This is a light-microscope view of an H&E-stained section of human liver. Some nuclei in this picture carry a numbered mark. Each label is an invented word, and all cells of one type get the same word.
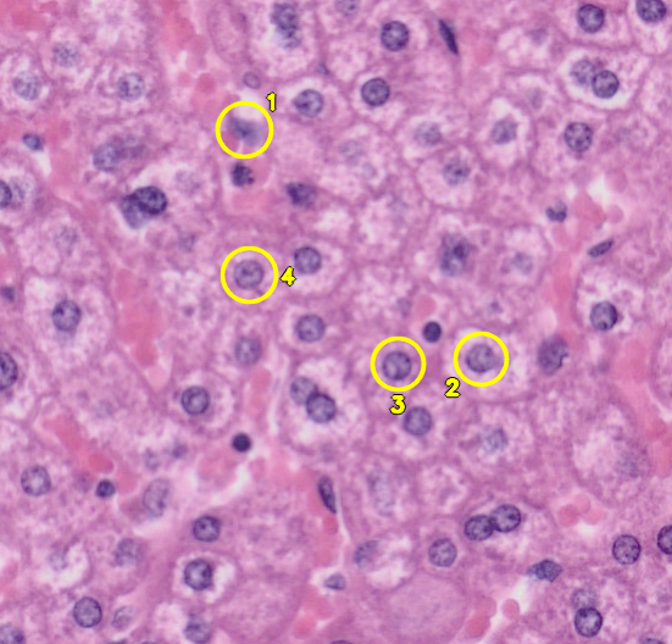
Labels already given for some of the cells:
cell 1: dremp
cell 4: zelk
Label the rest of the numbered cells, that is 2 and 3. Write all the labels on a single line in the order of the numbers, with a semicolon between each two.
zelk; zelk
